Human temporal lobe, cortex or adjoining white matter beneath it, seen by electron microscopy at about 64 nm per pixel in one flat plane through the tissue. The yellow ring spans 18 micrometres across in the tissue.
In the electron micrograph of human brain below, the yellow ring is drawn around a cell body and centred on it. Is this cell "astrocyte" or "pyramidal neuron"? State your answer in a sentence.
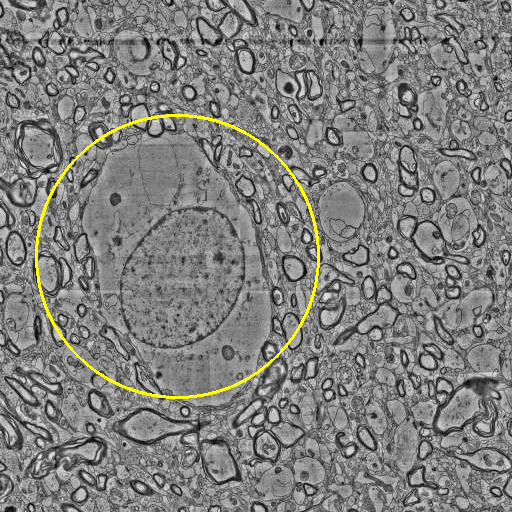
The cell in the middle of the ring is an astrocyte.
